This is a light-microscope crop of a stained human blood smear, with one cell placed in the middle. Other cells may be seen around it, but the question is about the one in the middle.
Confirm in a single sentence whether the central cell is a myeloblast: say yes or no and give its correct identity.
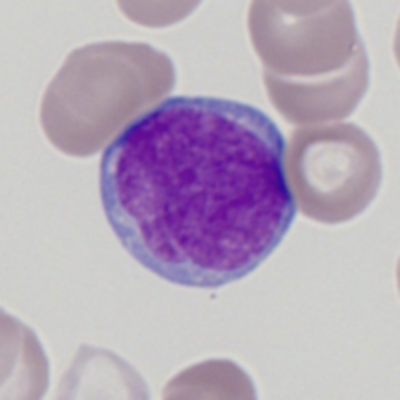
Yes, the cell of interest in the centre is a myeloblast.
